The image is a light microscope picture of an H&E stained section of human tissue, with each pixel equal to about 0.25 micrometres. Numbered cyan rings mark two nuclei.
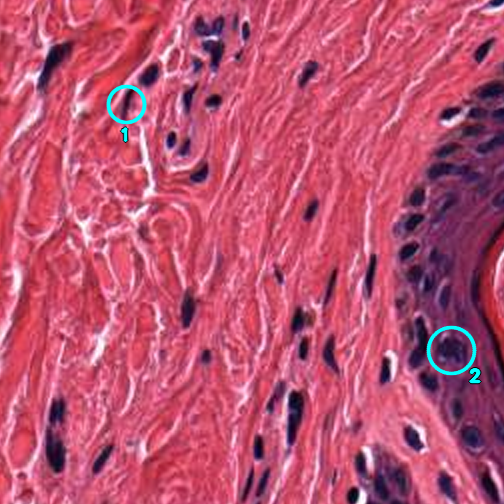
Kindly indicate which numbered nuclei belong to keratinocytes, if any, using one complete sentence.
Nucleus 2 lies in a keratinocyte, and no other numbered nucleus does.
